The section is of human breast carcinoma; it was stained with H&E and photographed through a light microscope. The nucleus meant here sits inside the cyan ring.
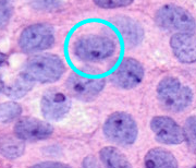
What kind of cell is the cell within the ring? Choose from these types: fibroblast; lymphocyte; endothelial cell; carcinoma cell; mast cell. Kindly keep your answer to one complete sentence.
The cell type represented by the cell within the ring is that of a carcinoma cell.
